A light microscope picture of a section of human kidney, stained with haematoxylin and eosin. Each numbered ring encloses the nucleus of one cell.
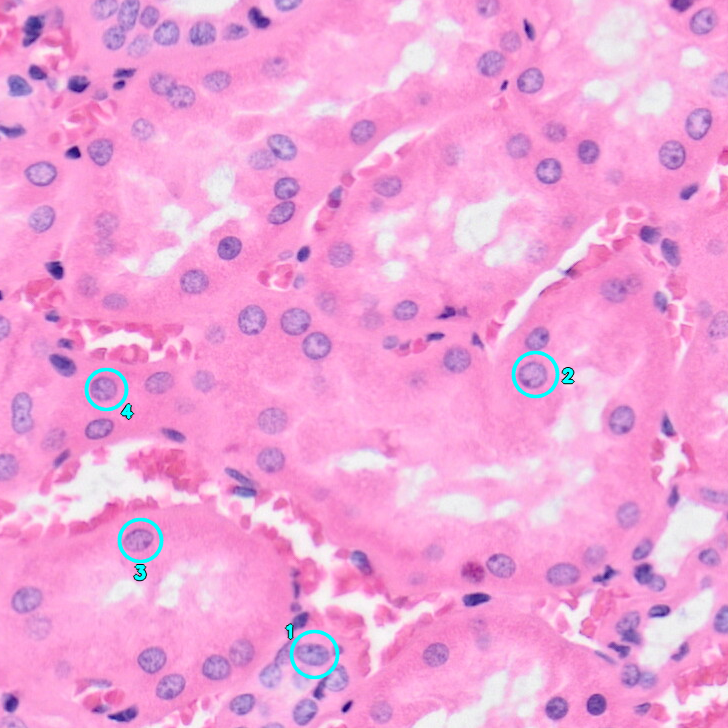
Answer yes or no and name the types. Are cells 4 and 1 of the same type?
No, classify cell 4 as a proximal tubule cell and cell 1 as a collecting duct cell.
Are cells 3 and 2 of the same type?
Yes, by their numbers, cells 3 and 2 are both proximal tubule cells.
